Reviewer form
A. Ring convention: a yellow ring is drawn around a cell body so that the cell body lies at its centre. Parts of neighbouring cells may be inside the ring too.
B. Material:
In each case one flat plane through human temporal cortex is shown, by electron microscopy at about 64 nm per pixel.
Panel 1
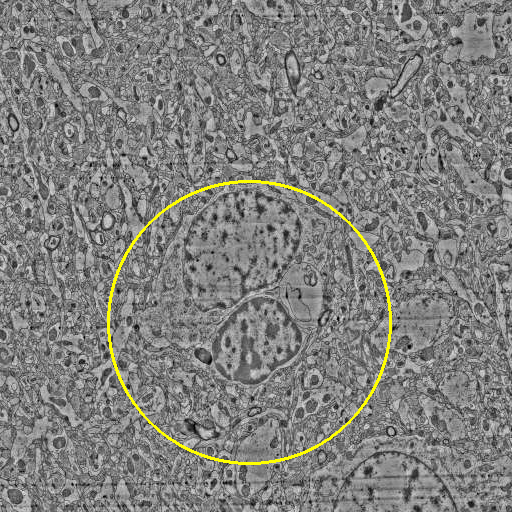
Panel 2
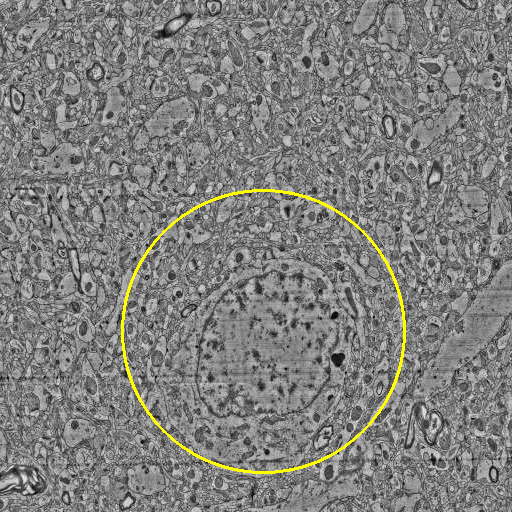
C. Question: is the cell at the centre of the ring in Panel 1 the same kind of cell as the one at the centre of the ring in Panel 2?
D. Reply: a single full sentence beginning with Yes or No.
No, the cells in Panel 1 and Panel 2 are two kinds of cell.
